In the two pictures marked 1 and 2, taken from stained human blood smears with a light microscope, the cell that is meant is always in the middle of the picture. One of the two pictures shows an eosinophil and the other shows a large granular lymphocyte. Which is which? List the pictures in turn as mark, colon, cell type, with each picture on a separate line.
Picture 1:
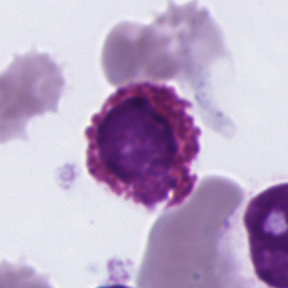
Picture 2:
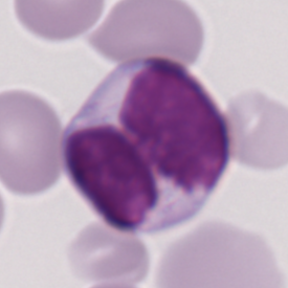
1: eosinophil
2: large granular lymphocyte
